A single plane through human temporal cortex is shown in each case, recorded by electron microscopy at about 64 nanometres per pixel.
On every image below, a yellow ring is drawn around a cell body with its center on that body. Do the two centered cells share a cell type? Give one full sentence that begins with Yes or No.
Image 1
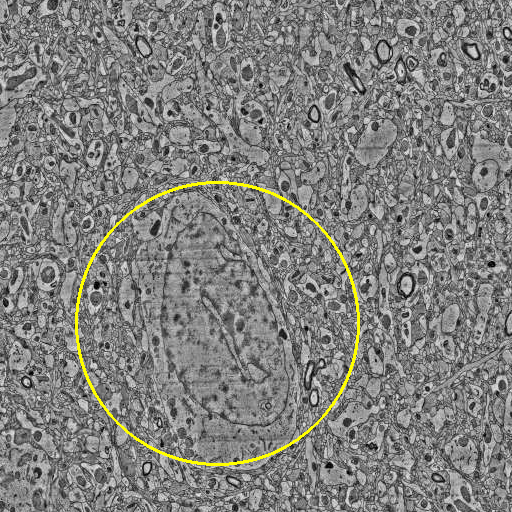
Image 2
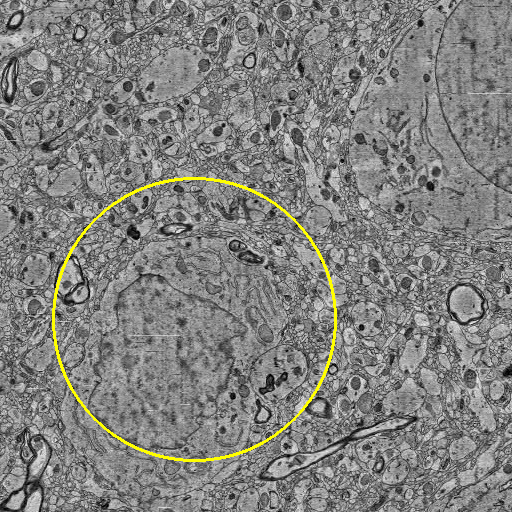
Yes, the centered cells in the two images are of a single cell type.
